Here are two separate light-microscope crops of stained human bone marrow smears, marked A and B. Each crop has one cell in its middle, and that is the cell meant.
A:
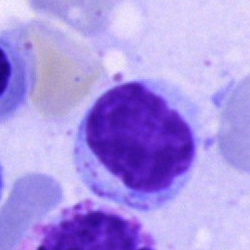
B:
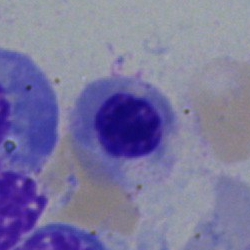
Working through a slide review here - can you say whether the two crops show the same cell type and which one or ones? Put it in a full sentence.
No, a lymphocyte is the cell in crop A; a normoblast is the cell in crop B.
